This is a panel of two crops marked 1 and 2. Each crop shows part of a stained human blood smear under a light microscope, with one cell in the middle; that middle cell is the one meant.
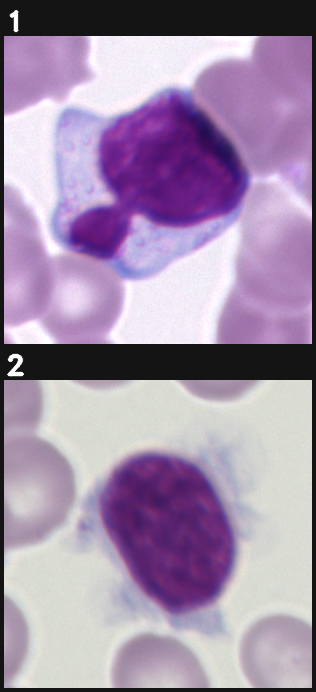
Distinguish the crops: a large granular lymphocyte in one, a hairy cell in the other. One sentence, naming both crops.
Crop 1 contains a large granular lymphocyte, and crop 2, a hairy cell.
